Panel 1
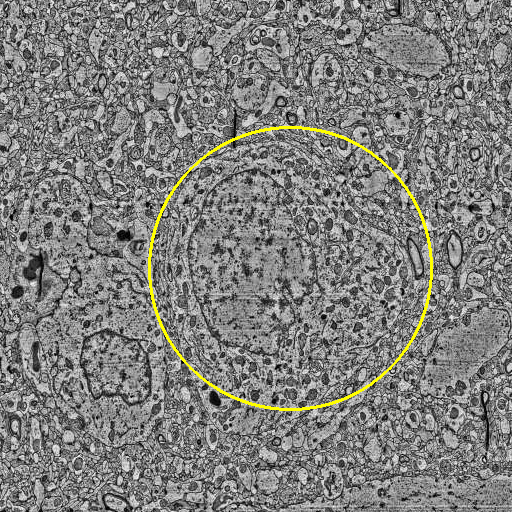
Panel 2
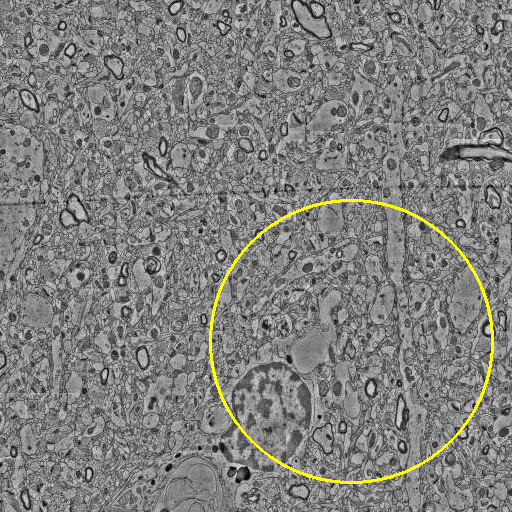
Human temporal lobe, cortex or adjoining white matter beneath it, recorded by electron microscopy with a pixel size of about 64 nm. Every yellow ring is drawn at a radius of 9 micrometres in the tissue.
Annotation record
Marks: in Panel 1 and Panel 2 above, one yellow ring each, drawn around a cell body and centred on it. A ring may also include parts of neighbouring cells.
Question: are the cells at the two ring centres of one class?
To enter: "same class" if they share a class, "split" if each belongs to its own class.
same class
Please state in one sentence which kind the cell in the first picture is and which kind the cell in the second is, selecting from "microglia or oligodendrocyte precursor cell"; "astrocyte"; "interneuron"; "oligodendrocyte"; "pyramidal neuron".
In both pictures the ring is centred on an interneuron.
